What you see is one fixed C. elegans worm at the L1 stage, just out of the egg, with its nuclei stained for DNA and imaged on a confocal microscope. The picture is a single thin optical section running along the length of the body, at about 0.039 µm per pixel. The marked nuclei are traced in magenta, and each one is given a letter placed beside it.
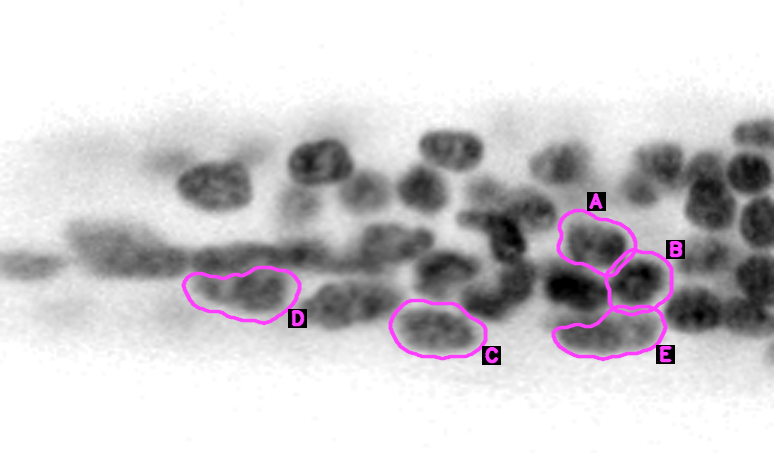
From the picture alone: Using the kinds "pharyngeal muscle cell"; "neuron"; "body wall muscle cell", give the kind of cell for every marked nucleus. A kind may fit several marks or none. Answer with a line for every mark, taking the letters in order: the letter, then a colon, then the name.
A: pharyngeal muscle cell
B: neuron
C: body wall muscle cell
D: body wall muscle cell
E: body wall muscle cell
